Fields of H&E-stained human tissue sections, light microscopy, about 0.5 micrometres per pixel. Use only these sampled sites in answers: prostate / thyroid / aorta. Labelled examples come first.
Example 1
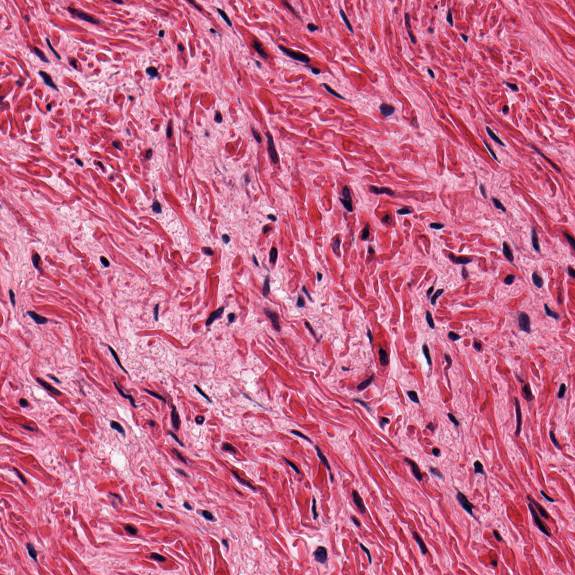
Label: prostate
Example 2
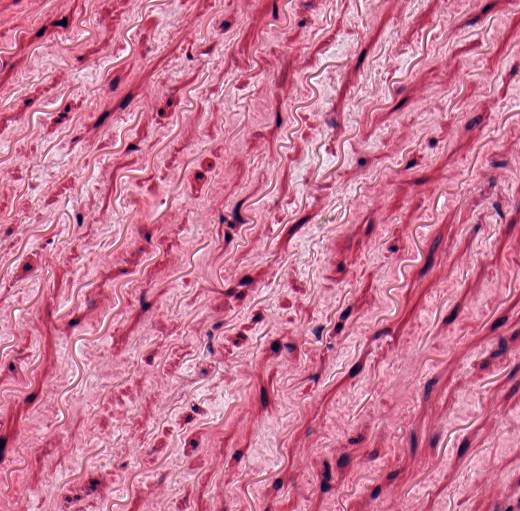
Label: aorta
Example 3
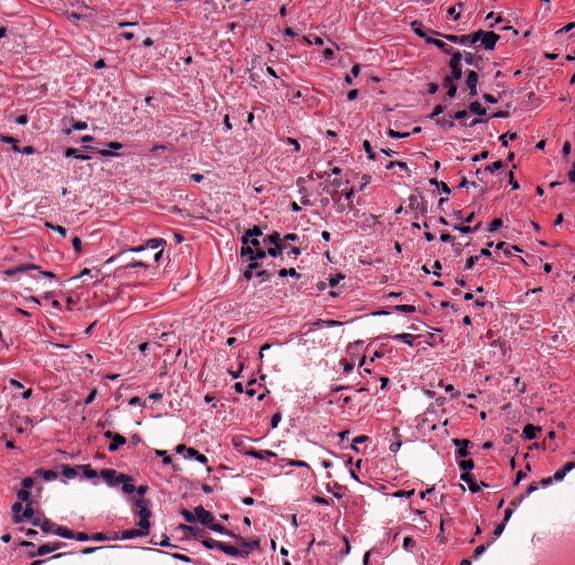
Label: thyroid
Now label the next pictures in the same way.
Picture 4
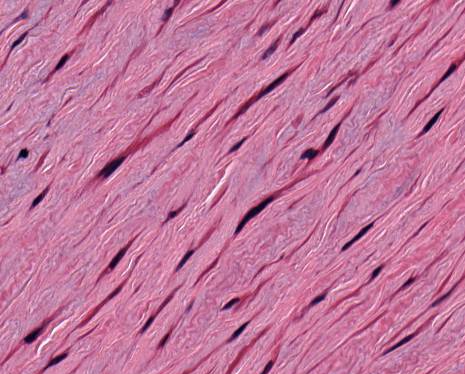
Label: aorta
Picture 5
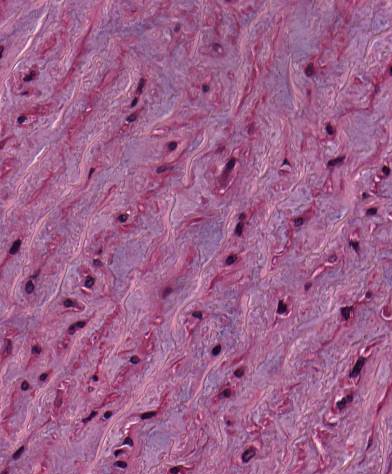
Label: aorta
